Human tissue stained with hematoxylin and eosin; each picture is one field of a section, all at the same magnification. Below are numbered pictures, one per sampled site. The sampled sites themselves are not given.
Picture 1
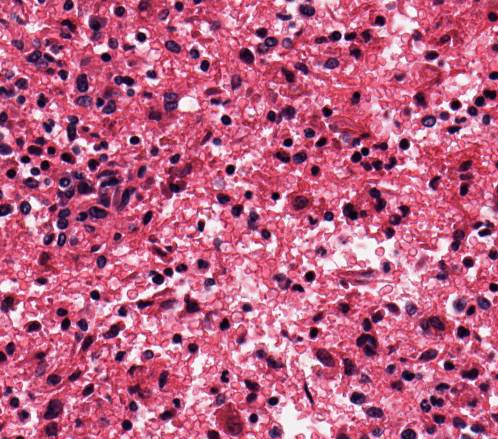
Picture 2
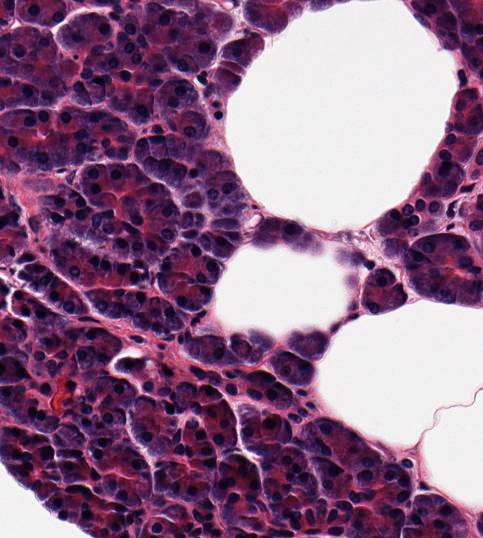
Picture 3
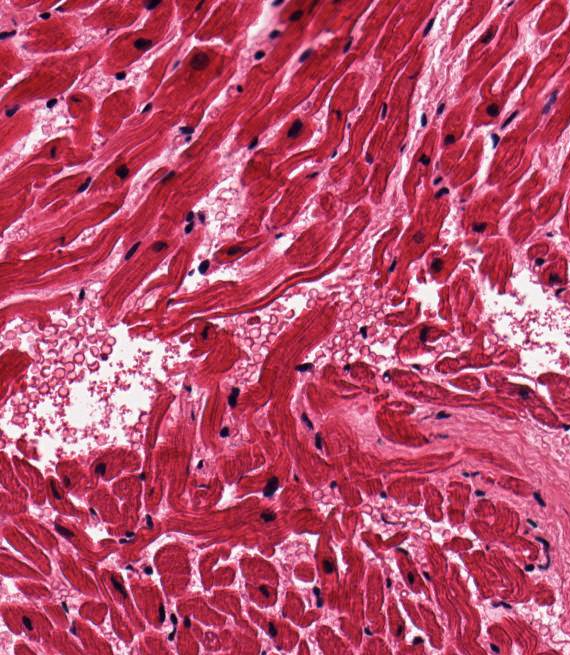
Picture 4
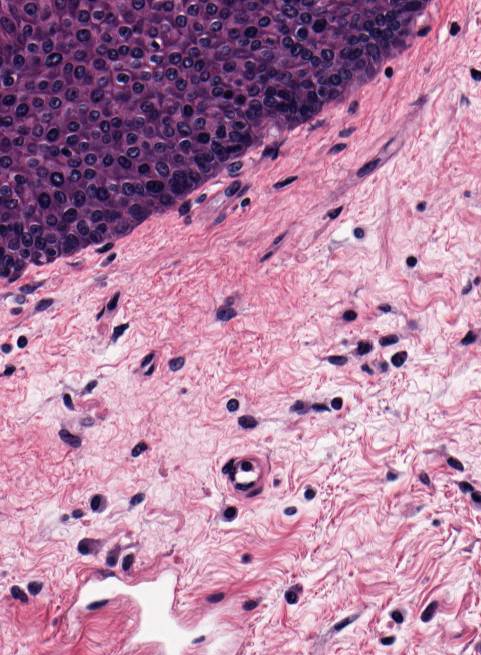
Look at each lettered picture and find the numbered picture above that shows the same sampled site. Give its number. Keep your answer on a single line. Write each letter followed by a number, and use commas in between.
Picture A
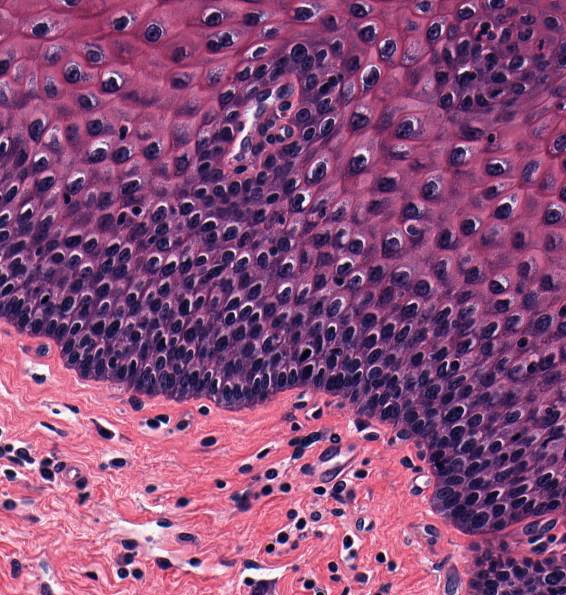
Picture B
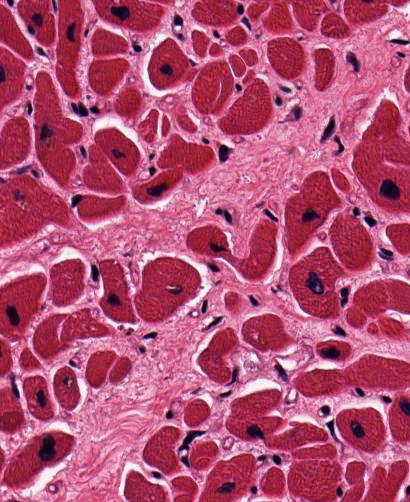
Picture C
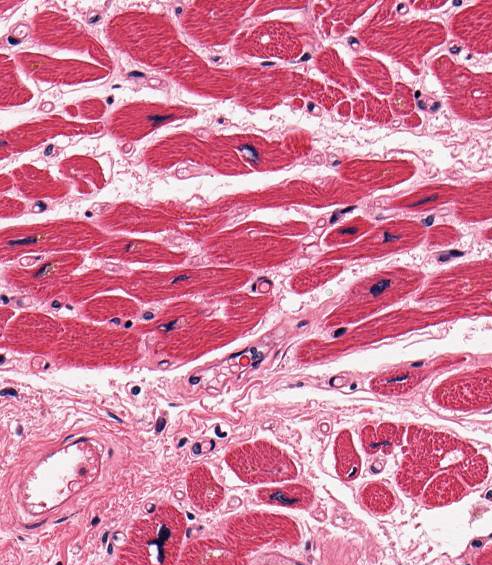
A 4, B 3, C 3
